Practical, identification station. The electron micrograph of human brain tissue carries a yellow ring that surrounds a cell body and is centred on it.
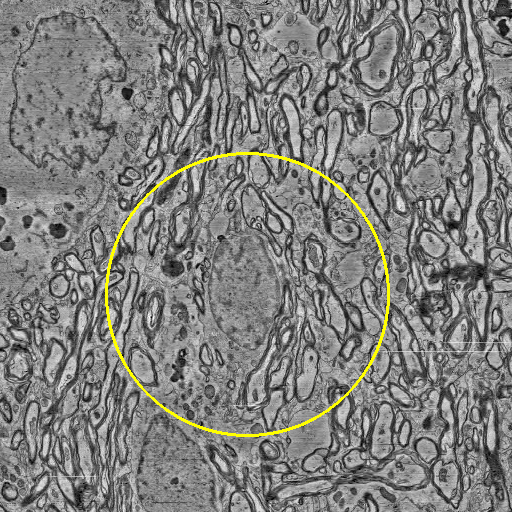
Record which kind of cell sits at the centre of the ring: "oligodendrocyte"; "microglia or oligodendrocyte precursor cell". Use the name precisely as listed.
oligodendrocyte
